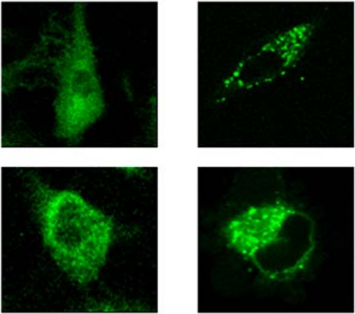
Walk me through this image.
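Four single cultured cells are shown by green fluorescence on a dark background, two in each row. In the two left-hand cells the green fluorescence is spread diffusely and fairly evenly through the cytoplasm, with no distinct dots. In the two right-hand cells the green signal is gathered into many small bright dots scattered through the cytoplasm. In the lower right-hand cell the dots crowd around a large, dark, rounded area without signal, which is taken to be the nucleus; its edge is traced by a thin green rim.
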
